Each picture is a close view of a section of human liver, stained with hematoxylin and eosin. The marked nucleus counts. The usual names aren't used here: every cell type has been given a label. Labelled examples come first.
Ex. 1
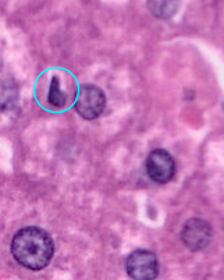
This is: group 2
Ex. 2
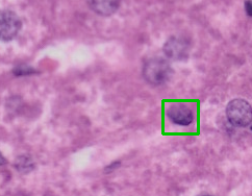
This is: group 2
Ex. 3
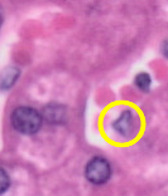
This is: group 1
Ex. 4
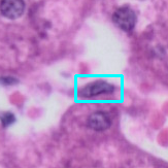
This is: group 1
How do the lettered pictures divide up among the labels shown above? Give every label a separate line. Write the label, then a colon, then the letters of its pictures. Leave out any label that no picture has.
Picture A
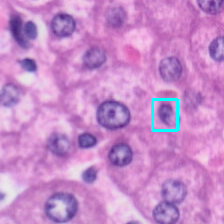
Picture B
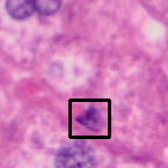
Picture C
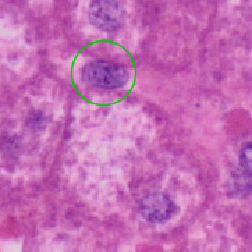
group 2: B, C
group 1: A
